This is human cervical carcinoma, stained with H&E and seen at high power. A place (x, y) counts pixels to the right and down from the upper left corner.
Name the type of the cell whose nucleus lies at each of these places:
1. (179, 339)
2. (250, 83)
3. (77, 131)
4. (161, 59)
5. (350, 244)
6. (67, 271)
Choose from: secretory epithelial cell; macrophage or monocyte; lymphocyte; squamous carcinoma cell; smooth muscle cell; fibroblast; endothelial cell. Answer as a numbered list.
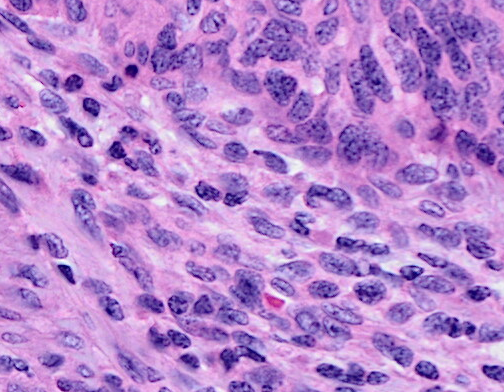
1. lymphocyte
2. squamous carcinoma cell
3. lymphocyte
4. squamous carcinoma cell
5. lymphocyte
6. lymphocyte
